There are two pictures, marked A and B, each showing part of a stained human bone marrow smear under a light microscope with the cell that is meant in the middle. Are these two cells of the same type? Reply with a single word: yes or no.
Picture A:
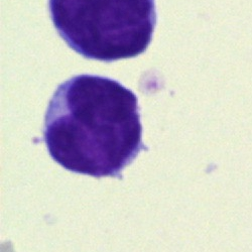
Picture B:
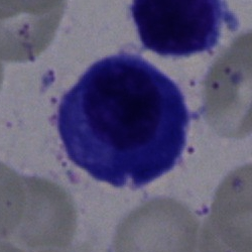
no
